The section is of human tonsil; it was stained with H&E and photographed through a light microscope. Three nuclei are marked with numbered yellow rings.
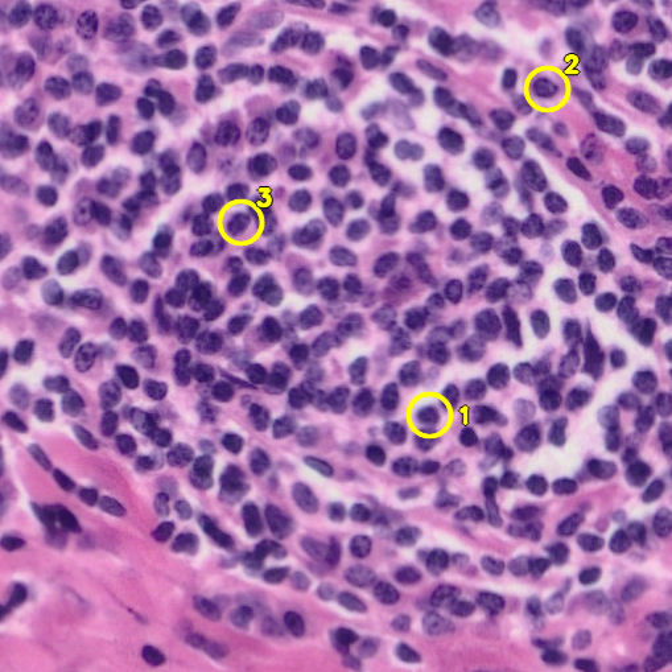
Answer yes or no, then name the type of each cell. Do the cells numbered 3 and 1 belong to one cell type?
Yes, both are small lymphocytes.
